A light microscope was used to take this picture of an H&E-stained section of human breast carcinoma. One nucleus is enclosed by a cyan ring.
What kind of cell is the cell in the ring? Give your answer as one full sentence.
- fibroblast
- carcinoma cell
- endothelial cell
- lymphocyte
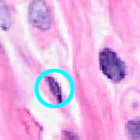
The cell in the ring appears to be an endothelial cell.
